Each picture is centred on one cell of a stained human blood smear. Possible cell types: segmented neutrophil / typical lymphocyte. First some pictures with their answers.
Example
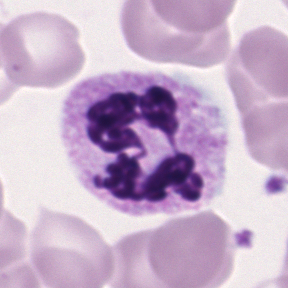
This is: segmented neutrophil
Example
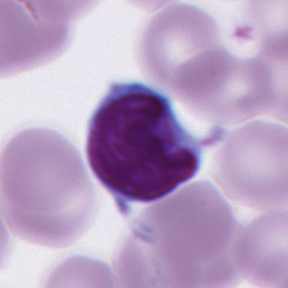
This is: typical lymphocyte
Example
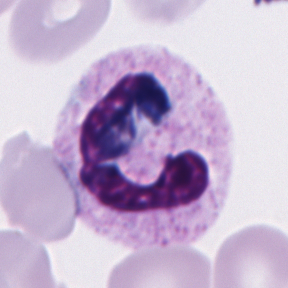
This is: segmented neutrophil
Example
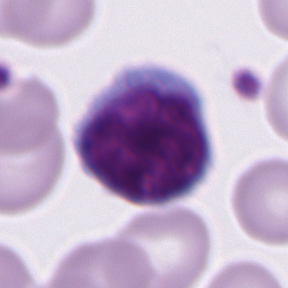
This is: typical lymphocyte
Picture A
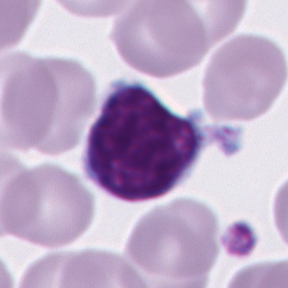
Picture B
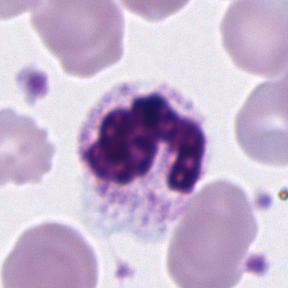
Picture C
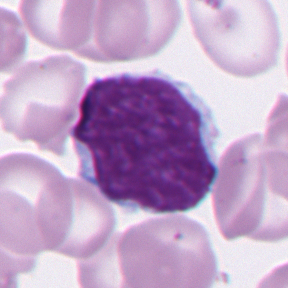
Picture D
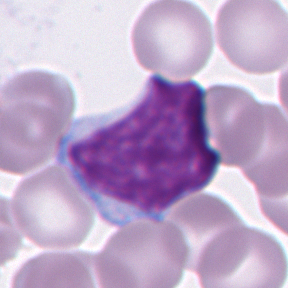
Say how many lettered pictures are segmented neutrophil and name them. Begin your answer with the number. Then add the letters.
1: B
